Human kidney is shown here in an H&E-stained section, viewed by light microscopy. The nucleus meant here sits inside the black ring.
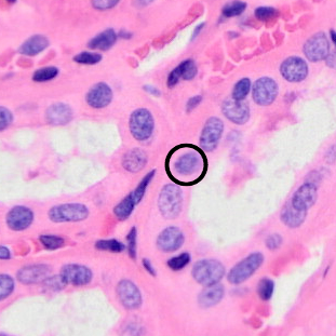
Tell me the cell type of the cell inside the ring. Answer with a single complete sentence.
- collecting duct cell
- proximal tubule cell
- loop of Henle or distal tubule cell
The cell inside the ring appears to be a collecting duct cell.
